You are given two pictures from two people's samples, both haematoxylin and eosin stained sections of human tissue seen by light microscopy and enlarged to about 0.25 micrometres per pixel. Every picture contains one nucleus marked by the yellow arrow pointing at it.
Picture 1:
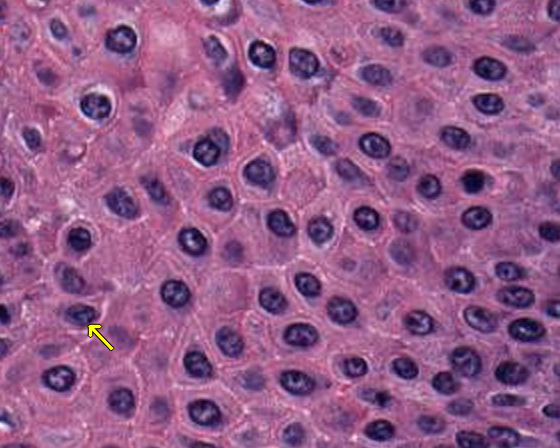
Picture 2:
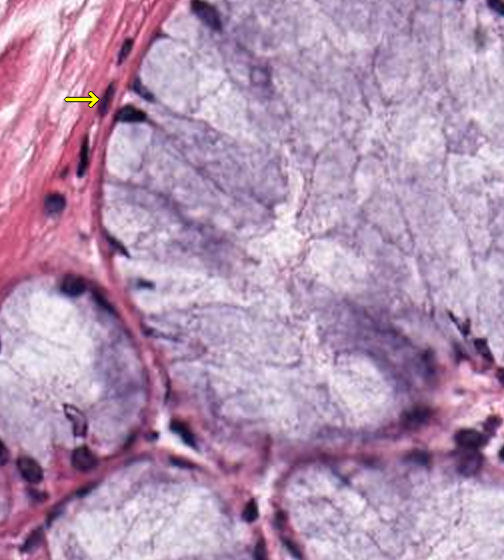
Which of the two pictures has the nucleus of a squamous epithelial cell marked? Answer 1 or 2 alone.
1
